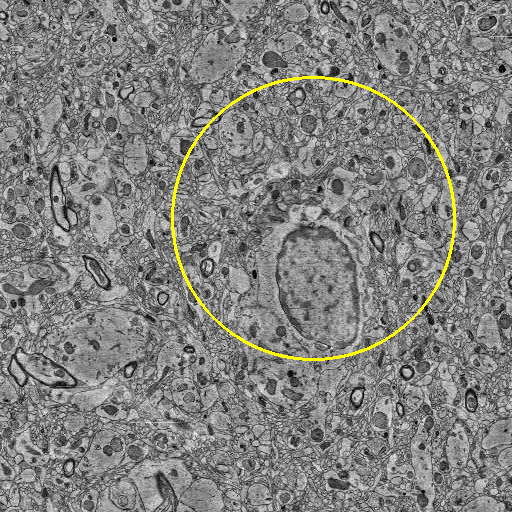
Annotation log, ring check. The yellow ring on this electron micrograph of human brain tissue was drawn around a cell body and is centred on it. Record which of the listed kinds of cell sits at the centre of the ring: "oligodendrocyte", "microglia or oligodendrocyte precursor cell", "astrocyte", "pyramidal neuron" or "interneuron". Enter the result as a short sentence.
The cell at the centre of the ring is a microglial cell or oligodendrocyte precursor cell.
